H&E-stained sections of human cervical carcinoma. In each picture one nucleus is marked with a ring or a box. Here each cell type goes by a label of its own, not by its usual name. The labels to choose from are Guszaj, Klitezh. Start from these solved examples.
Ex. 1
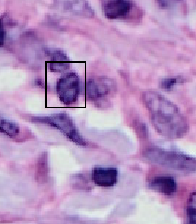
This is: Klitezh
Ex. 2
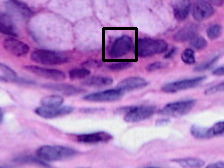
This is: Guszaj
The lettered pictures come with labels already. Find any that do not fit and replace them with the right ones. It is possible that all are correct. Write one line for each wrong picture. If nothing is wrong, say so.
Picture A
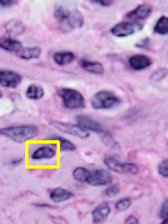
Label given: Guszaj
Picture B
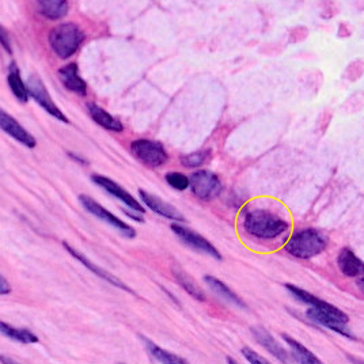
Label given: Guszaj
A should be Klitezh, not Guszaj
